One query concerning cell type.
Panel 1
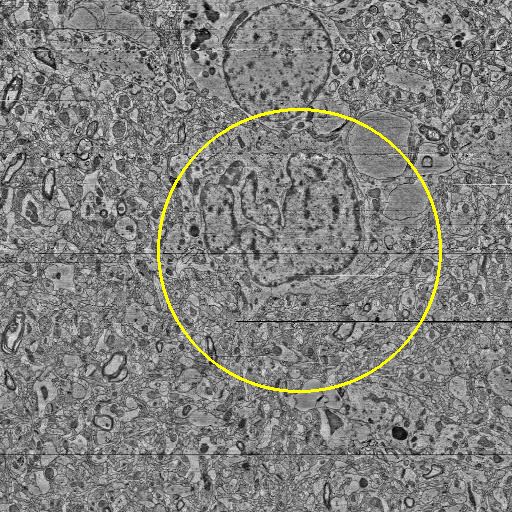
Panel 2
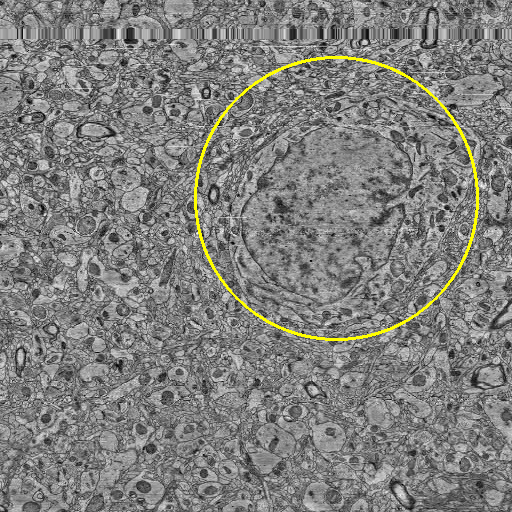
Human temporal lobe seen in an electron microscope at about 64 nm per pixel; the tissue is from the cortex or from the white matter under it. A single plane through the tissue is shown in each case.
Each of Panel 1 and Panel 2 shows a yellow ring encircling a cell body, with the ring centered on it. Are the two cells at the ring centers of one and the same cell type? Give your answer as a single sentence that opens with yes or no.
No, the cell centered in Panel 1 and the one in Panel 2 are of two types.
